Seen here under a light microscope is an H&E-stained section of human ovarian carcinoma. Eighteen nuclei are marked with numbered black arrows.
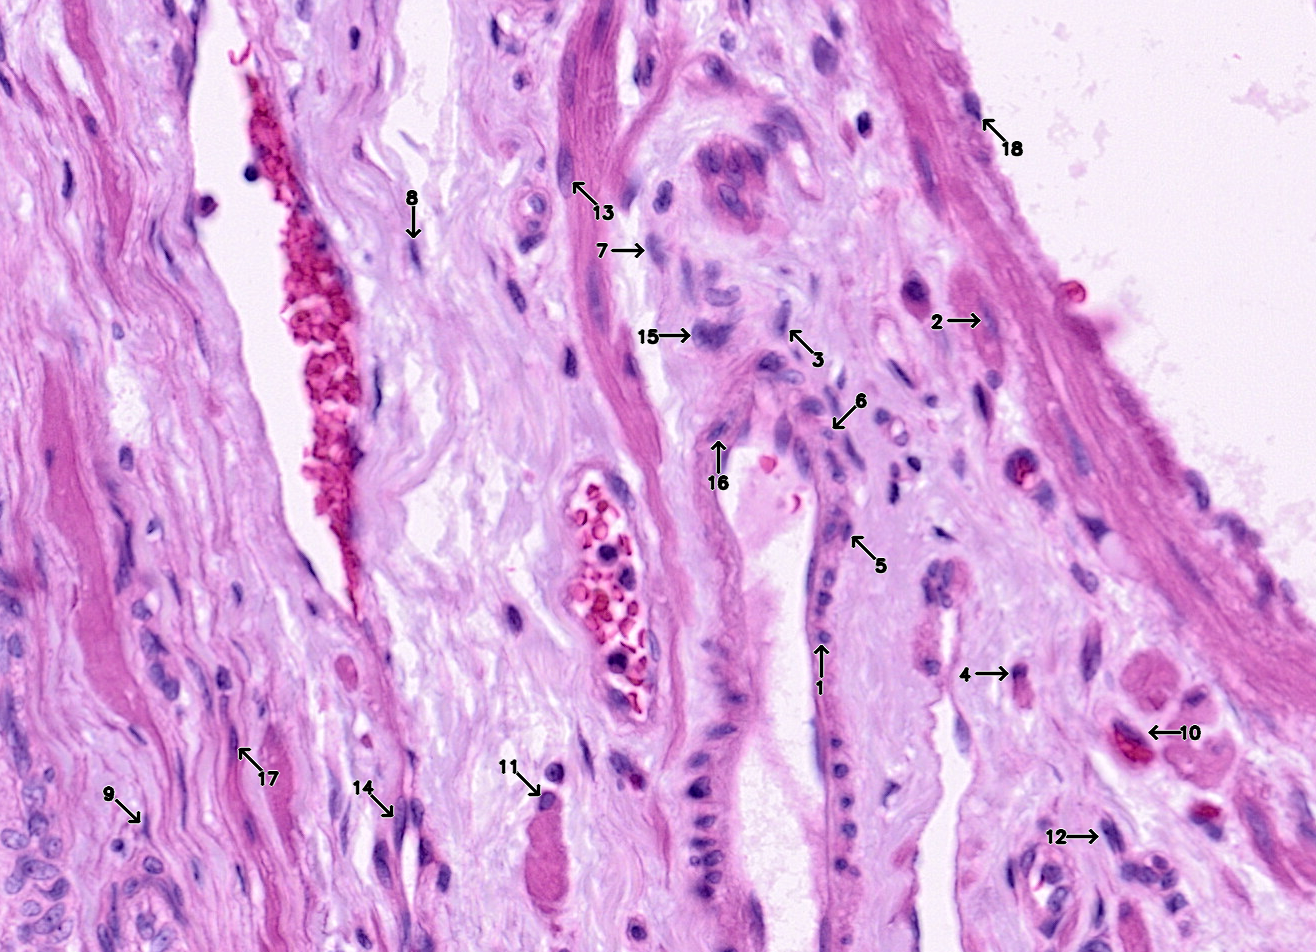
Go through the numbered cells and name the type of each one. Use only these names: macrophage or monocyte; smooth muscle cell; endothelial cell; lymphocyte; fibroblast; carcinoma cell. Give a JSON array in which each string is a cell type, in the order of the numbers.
["smooth muscle cell", "smooth muscle cell", "fibroblast", "smooth muscle cell", "smooth muscle cell", "smooth muscle cell", "fibroblast", "fibroblast", "fibroblast", "endothelial cell", "smooth muscle cell", "fibroblast", "smooth muscle cell", "endothelial cell", "fibroblast", "smooth muscle cell", "smooth muscle cell", "endothelial cell"]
